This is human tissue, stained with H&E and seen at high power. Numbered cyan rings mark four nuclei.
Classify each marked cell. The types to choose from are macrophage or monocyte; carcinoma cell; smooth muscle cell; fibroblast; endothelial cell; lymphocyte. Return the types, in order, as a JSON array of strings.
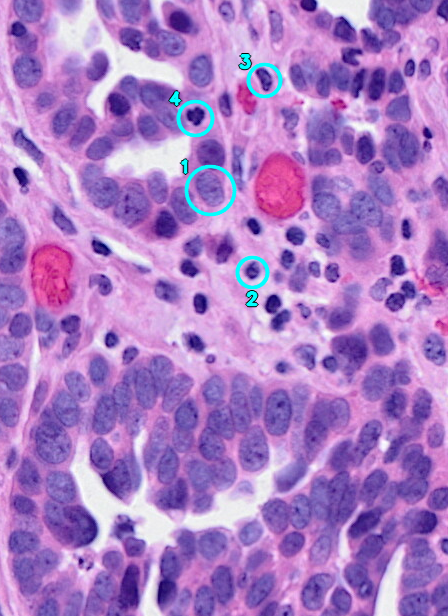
["carcinoma cell", "lymphocyte", "lymphocyte", "lymphocyte"]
